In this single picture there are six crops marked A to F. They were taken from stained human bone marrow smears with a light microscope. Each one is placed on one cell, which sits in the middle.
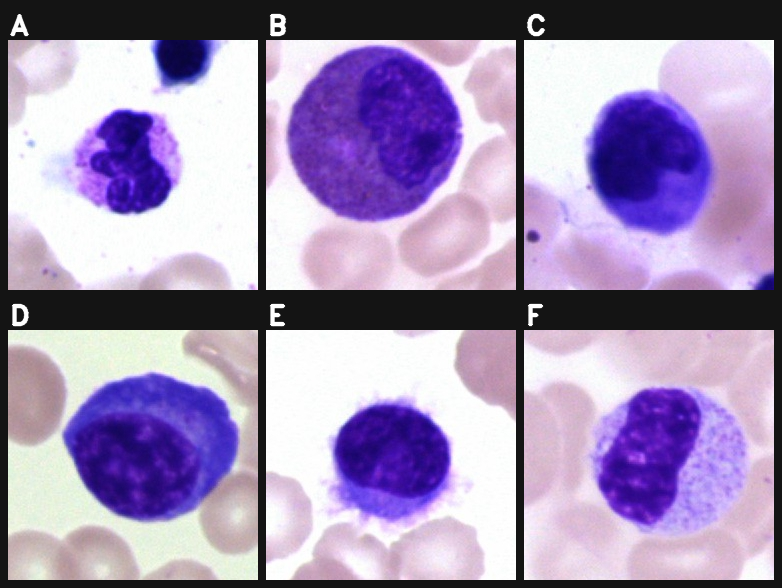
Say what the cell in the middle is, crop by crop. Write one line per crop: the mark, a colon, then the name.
A: segmented neutrophil
B: eosinophil
C: monocyte
D: plasma cell
E: hairy cell
F: metamyelocyte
